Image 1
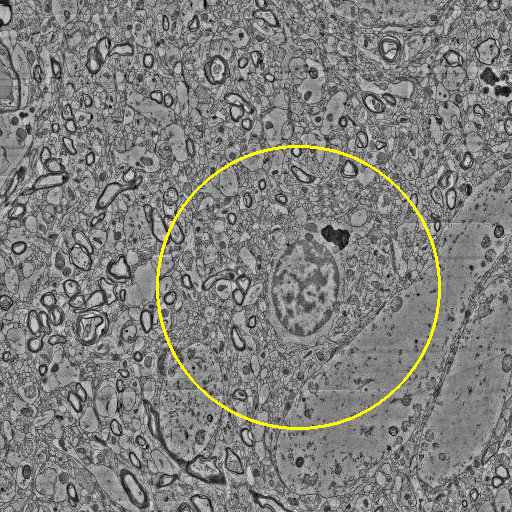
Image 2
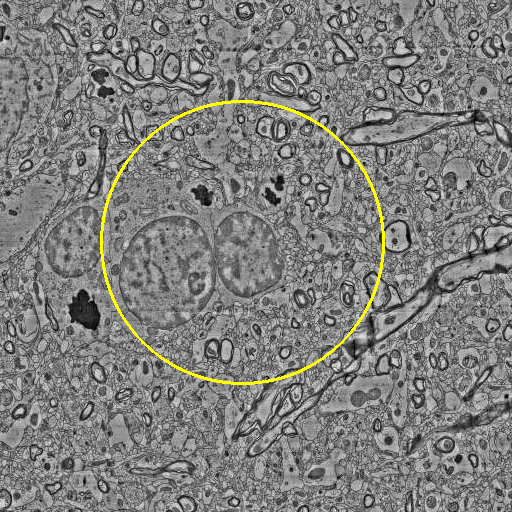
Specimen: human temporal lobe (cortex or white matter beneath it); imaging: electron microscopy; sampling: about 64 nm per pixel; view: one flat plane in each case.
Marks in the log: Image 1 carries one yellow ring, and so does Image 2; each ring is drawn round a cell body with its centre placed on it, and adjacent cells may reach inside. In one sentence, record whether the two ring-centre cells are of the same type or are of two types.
The two cells at the ring centres, one in each image, are of the same type.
